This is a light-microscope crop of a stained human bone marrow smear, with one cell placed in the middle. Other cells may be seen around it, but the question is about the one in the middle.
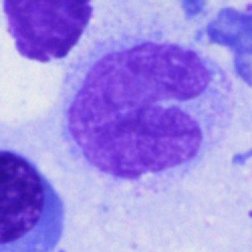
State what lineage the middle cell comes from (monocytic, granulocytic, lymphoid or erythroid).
monocytic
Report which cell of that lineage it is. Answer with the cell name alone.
monocyte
